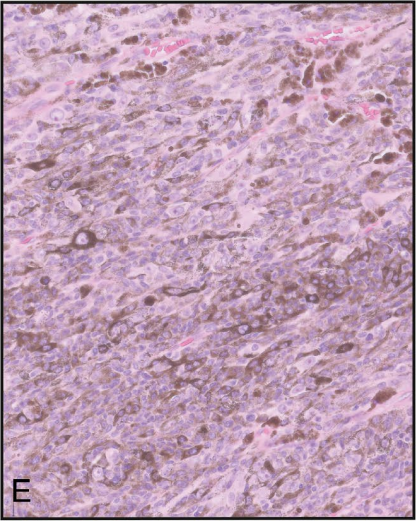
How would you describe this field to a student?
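Much of the tumour is made of spindle cells with elongated, oval nuclei arranged in parallel streams running across the field. Among them lie rounder epithelioid cells with more abundant cytoplasm and round nuclei. The pigment fills the cytoplasm of many cells and in places obscures the nuclei. A few thin-walled vessels with red blood cells run between the cells.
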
